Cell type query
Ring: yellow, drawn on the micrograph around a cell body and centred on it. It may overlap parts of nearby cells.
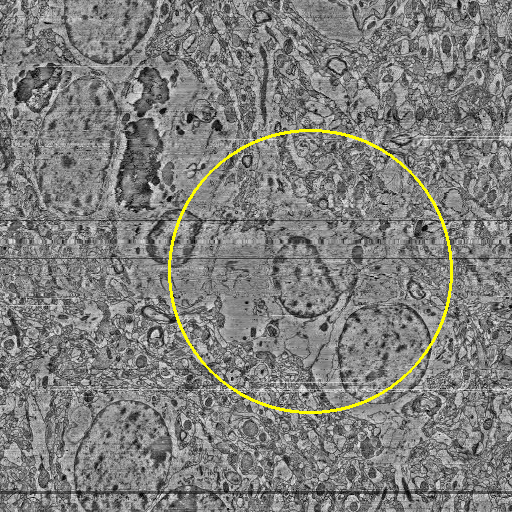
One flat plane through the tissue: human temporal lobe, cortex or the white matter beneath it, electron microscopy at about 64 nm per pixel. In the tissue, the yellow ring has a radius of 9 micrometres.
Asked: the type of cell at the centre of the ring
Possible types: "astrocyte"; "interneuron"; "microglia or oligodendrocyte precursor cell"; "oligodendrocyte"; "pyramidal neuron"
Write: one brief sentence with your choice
The ring marks an astrocyte.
